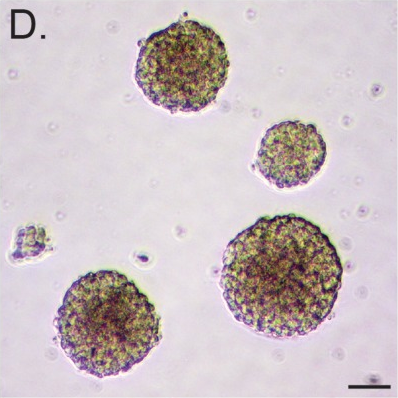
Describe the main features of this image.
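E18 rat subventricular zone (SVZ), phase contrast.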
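Neurosphere colonies lie free in culture as round, compact clusters of many small cells. The spheres vary in size, and their densely packed cells give a granular, slightly bumpy surface with a darker centre. Isolated single round cells and a small irregular cell cluster are scattered in the surrounding clear background.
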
